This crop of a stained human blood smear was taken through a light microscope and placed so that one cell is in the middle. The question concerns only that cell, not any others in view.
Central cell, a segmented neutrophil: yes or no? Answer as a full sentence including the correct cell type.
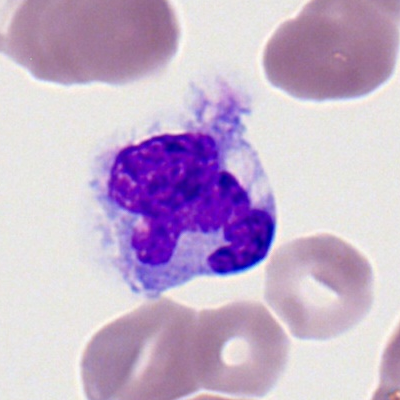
No, the cell in the middle of the crop counts as a monocyte and not as a segmented neutrophil.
